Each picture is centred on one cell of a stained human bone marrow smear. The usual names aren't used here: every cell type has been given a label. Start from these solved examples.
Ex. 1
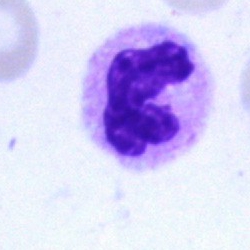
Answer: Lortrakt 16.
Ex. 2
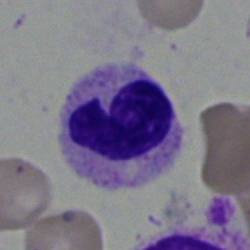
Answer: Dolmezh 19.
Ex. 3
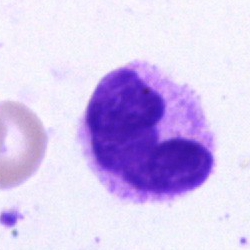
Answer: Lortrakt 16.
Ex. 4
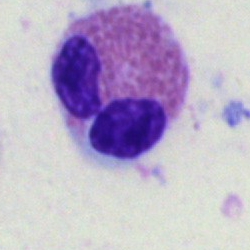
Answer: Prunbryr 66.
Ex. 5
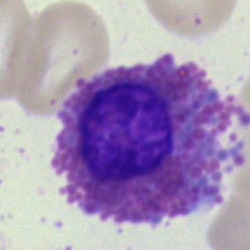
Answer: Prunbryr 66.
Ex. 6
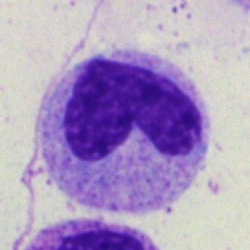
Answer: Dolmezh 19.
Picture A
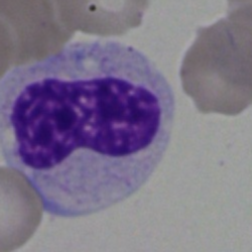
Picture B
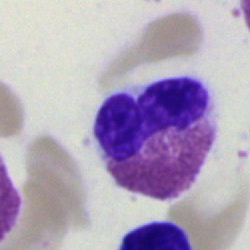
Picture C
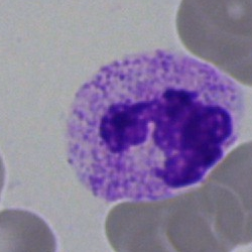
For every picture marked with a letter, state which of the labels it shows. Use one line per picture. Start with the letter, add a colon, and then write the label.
A: Dolmezh 19.
B: Prunbryr 66.
C: Lortrakt 16.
